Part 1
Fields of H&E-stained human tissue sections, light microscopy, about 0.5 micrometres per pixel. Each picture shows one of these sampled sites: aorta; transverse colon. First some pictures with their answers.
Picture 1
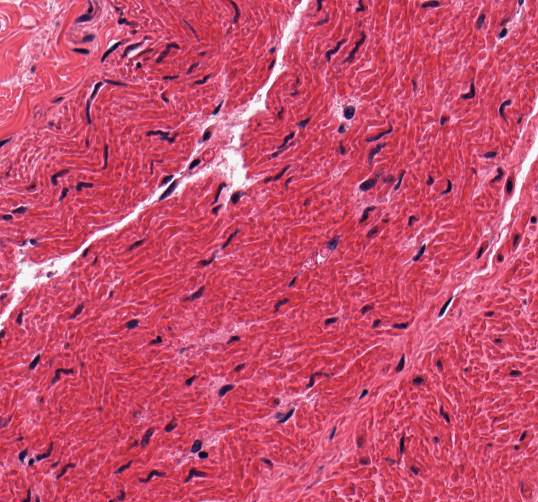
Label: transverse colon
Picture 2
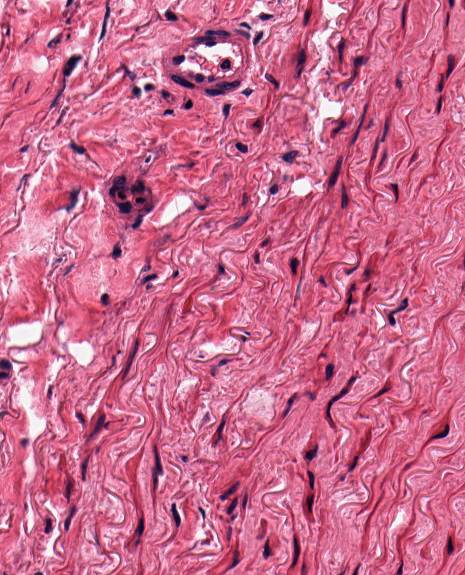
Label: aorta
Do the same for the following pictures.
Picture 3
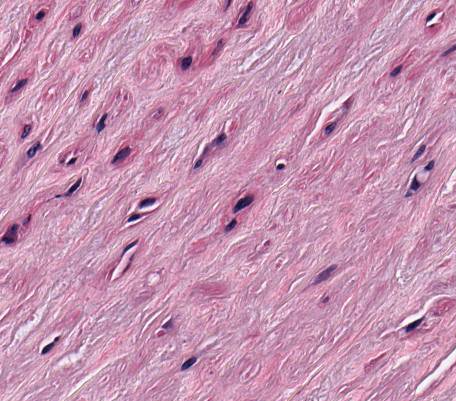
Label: aorta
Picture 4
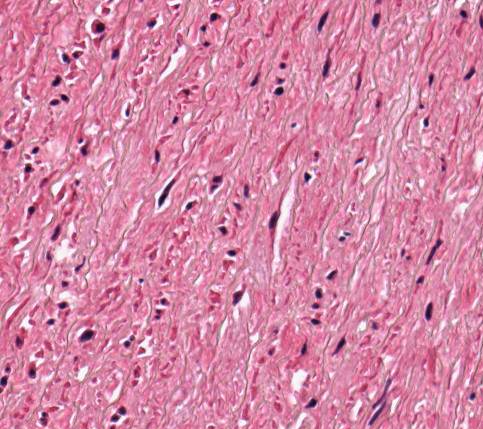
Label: aorta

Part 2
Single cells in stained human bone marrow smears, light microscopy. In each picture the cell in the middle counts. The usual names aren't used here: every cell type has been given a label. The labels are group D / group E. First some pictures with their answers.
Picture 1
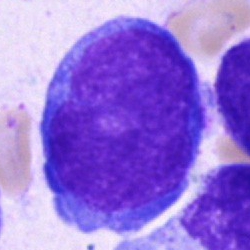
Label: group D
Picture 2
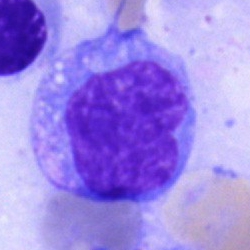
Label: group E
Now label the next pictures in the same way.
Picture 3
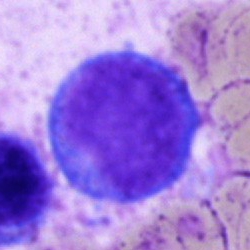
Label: group D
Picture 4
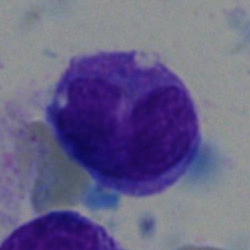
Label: group E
